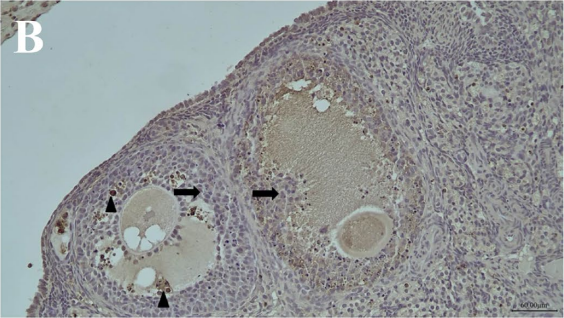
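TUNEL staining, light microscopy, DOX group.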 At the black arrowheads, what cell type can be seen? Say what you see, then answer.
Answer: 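Ovarian follicle epithelial cell. The arrowheads point to dark-brown dots within the cell layer around a follicle. The stained bodies are small and rounded among unstained cells with purple nuclei.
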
